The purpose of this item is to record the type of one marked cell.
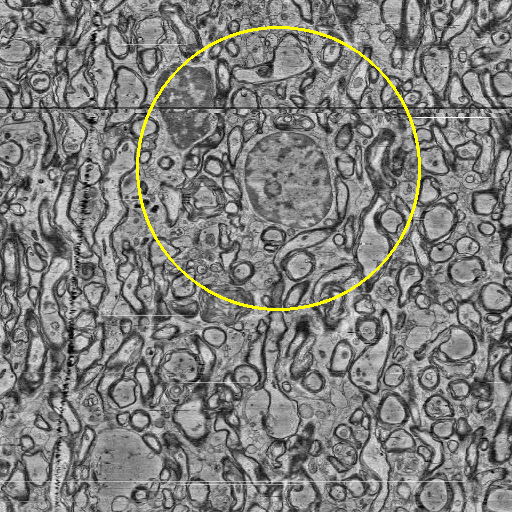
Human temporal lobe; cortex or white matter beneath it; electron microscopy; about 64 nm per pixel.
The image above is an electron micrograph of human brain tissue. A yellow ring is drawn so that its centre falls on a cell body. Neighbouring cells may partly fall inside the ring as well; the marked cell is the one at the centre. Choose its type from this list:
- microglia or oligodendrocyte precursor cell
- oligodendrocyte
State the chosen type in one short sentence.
What the ring marks here is a microglial cell or oligodendrocyte precursor cell.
